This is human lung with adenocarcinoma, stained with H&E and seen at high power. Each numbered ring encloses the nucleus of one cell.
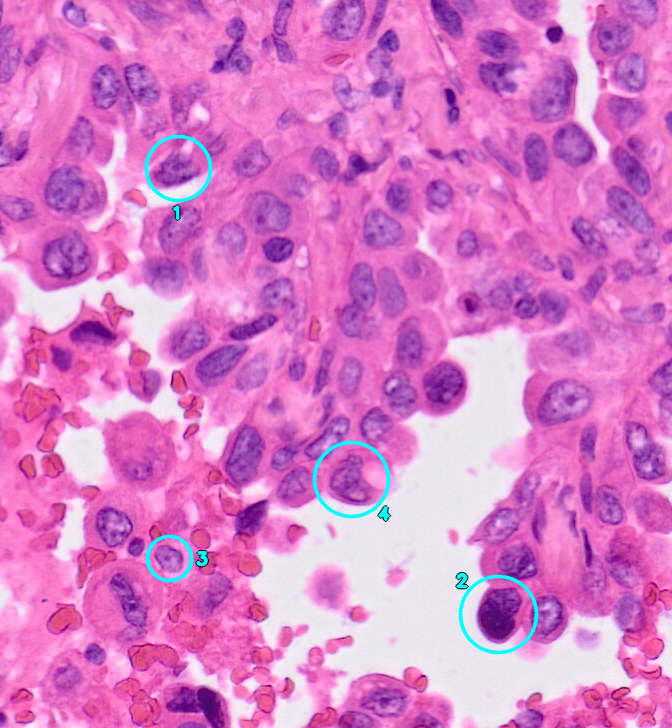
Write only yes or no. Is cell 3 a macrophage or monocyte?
yes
